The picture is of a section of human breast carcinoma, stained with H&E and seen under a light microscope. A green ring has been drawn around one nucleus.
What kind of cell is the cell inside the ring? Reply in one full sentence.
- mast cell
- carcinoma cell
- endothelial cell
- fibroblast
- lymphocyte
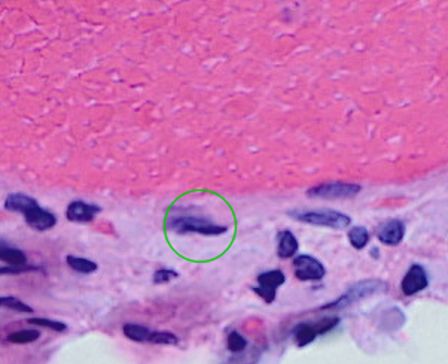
The cell meant here is a fibroblast.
